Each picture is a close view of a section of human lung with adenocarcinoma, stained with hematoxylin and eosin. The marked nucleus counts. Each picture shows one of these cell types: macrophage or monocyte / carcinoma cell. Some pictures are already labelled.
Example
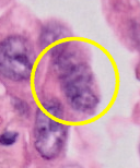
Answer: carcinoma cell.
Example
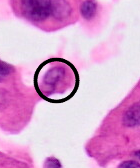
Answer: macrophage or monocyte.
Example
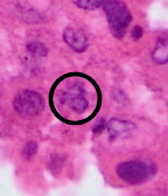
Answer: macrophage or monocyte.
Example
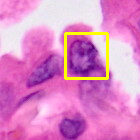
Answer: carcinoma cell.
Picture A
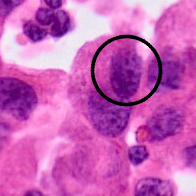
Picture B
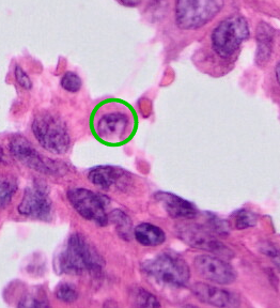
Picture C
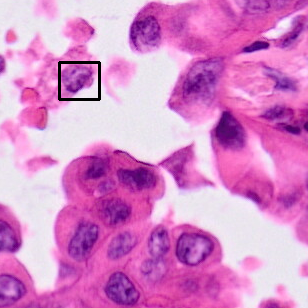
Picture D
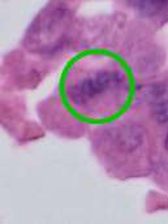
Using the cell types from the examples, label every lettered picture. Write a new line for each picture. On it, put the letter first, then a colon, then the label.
A: carcinoma cell.
B: macrophage or monocyte.
C: macrophage or monocyte.
D: carcinoma cell.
